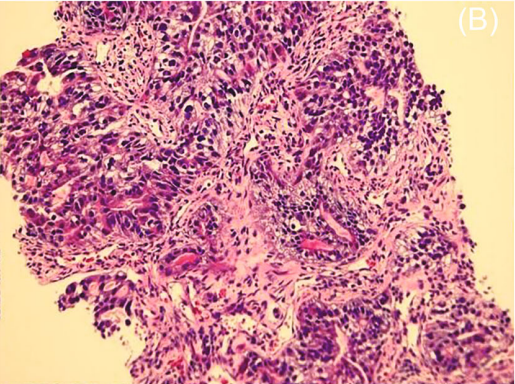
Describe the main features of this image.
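Here we look at tumour tissue at higher power, its cells packed in irregular nests and cords with small gland-like spaces between them. Pink strands of fibrous stroma run through the field and divide the cell groups. Look at the nuclei: they are large, dark purple and unequal in size and shape, some round, some elongated, crowded together without an orderly layout. This variation is what we call nuclear atypia. Around many nuclei the cytoplasm is pink, while in places it looks paler. A few small bright red areas within the stroma are red blood cells.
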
